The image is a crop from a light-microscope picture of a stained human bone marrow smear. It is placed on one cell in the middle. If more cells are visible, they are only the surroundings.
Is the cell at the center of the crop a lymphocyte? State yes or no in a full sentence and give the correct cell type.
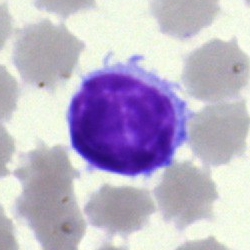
Yes, the cell sitting in the center is a lymphocyte.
